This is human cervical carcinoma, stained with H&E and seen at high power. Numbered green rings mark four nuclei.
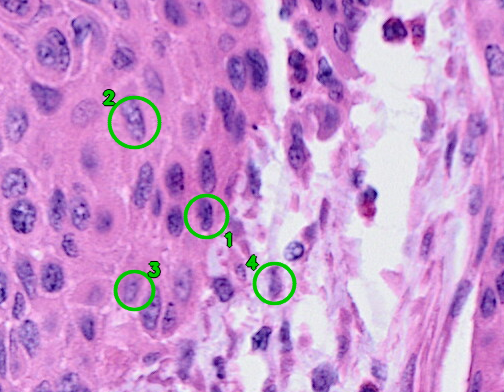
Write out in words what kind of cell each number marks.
Cell 1 is a squamous carcinoma cell, cell 2 is a squamous carcinoma cell, cell 3 is a squamous carcinoma cell and cell 4 is a fibroblast.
